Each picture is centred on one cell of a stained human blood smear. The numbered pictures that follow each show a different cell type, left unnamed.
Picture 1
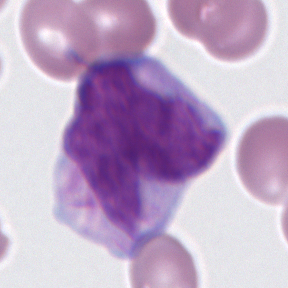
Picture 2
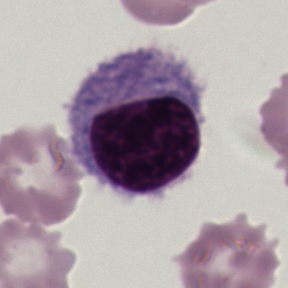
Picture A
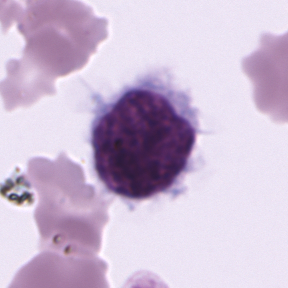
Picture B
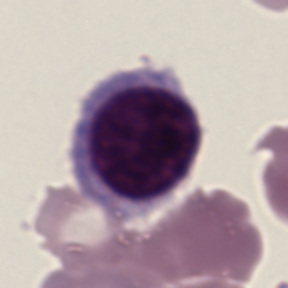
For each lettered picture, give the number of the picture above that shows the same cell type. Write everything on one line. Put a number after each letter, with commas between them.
A 2, B 2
